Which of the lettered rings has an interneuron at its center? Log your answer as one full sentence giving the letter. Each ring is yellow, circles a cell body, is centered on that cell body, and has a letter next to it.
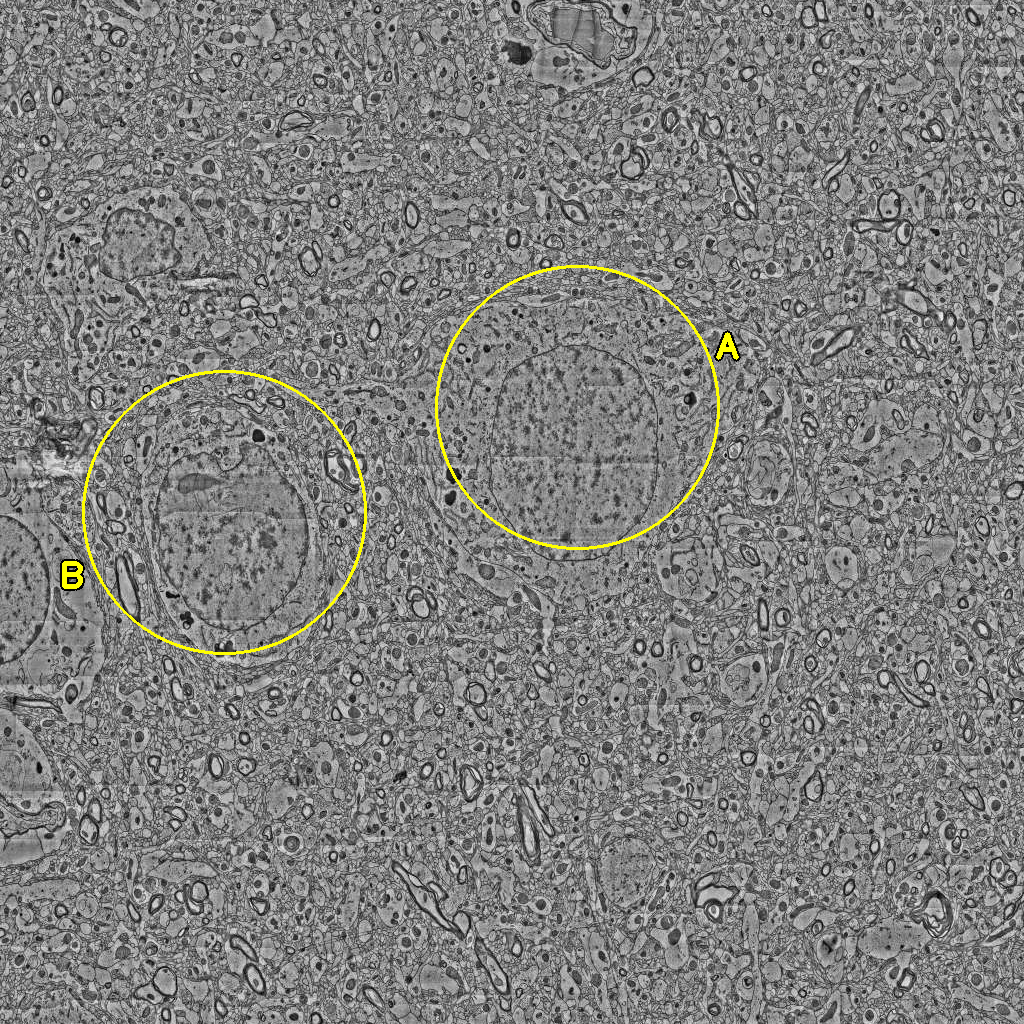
The lettered ring centered on the cell asked for is ring B.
